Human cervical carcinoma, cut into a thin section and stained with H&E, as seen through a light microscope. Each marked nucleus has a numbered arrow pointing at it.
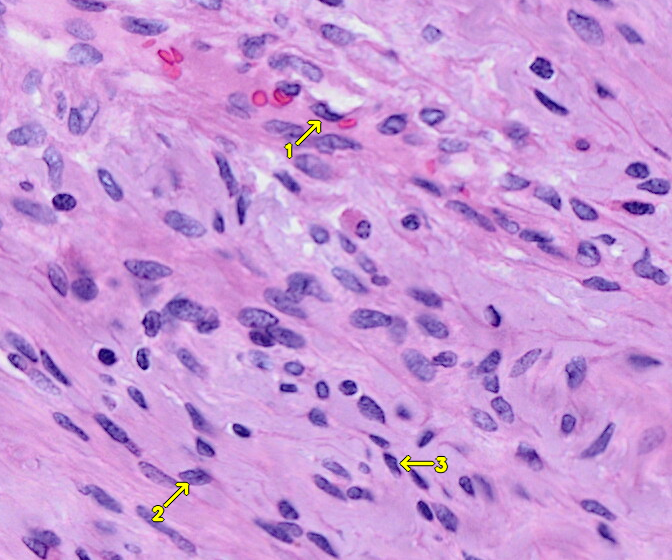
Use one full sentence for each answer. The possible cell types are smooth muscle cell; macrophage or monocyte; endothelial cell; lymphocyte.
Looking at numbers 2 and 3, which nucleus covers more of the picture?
It is nucleus 2, which covers about 1.5 times the area of nucleus 3.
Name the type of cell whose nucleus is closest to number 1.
Number 1 lies closest to the nucleus of an endothelial cell.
